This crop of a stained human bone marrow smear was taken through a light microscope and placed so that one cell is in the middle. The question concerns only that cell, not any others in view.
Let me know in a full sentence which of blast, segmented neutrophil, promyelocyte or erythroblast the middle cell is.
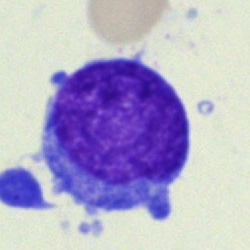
The cell in the middle of this crop is a blast.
